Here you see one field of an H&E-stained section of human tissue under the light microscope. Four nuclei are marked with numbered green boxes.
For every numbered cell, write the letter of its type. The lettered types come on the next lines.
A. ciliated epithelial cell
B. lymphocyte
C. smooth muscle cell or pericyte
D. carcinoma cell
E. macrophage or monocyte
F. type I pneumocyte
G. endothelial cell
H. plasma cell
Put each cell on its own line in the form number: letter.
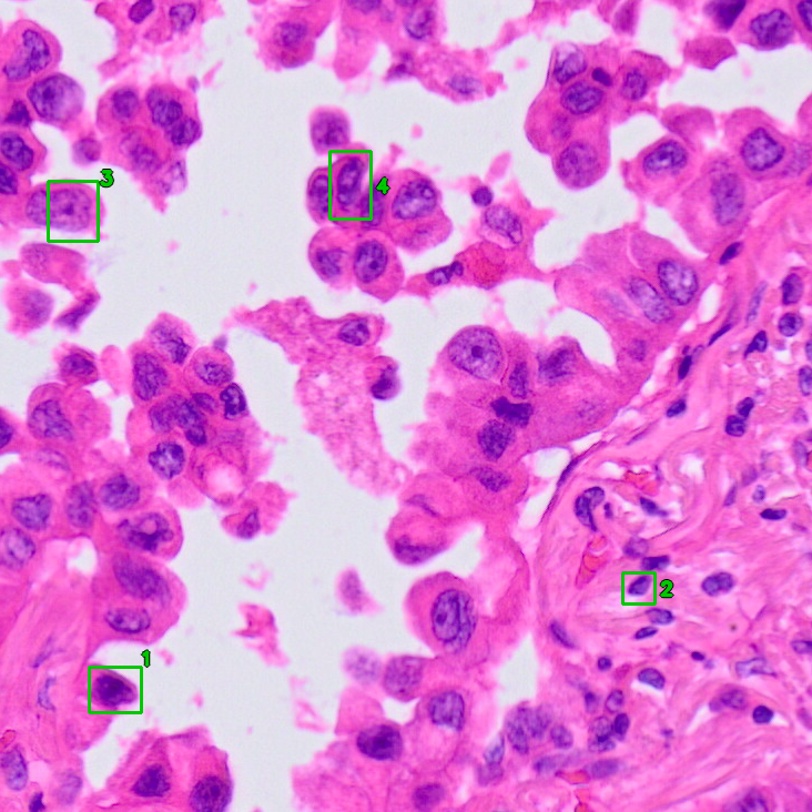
1: D
2: B
3: D
4: D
